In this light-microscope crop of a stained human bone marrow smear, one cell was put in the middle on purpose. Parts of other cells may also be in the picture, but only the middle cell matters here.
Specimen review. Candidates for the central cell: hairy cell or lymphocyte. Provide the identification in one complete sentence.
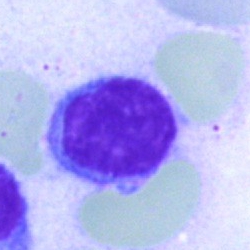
To answer, the cell in the center of the crop is a lymphocyte.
